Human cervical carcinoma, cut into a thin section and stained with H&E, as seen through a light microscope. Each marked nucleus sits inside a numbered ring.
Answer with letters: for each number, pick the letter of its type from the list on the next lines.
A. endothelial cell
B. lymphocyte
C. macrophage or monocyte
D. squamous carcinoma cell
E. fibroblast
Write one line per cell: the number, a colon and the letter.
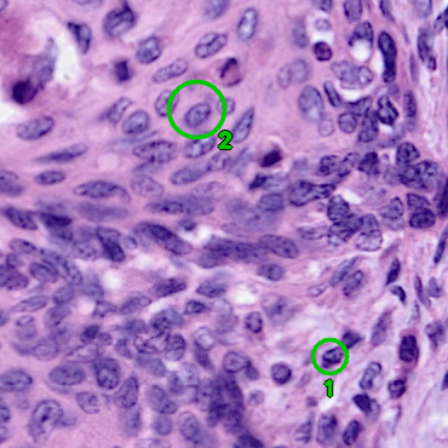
1: B
2: D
